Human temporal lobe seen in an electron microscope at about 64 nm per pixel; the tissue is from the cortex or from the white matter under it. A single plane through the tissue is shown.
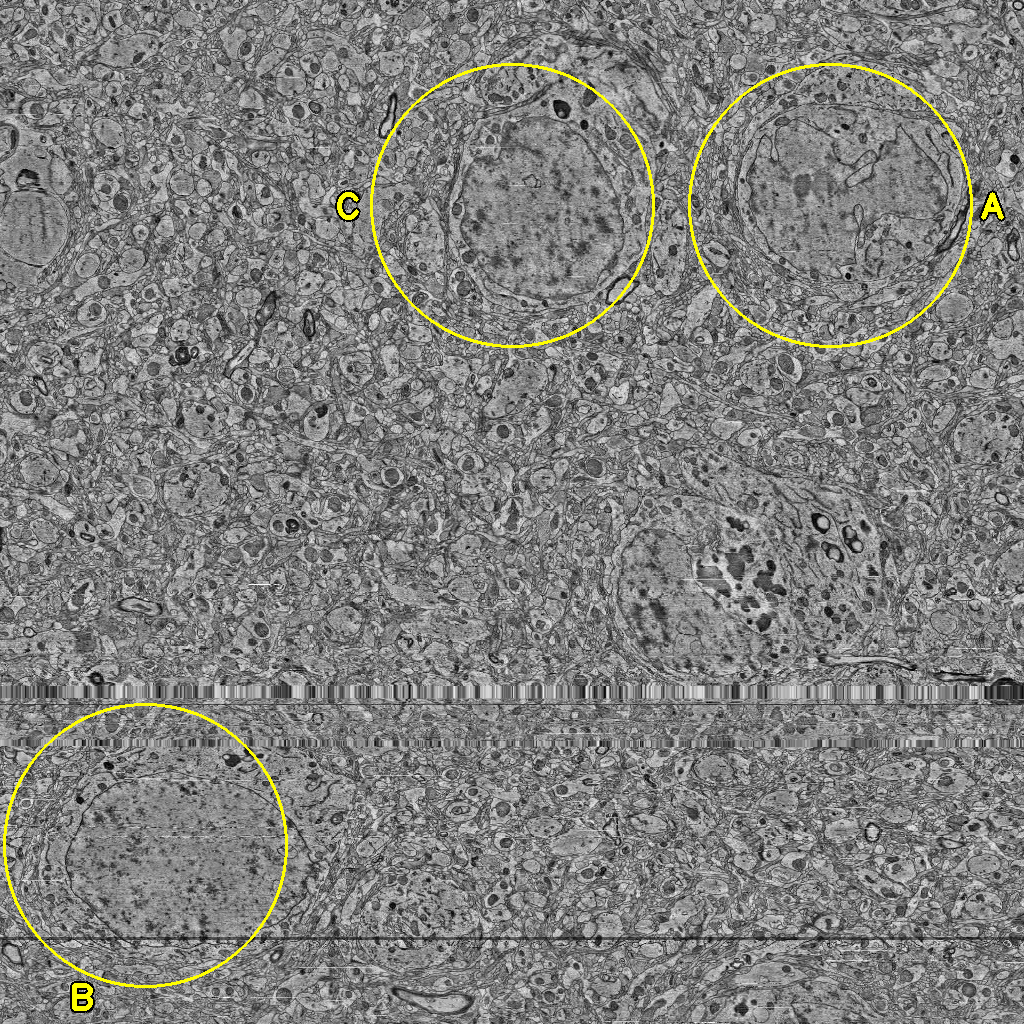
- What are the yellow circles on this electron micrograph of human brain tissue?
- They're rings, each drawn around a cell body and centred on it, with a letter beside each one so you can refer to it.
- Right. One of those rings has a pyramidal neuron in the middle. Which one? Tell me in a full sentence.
It's ring B.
